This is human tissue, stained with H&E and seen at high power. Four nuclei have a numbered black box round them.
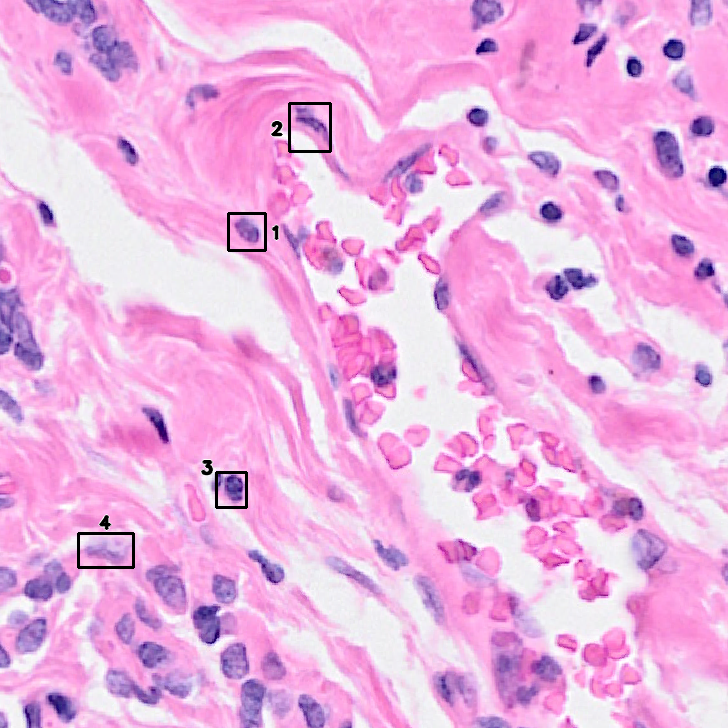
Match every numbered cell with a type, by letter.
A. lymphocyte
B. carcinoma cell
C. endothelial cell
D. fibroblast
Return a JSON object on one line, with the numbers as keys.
{"1": "A", "2": "C", "3": "A", "4": "D"}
